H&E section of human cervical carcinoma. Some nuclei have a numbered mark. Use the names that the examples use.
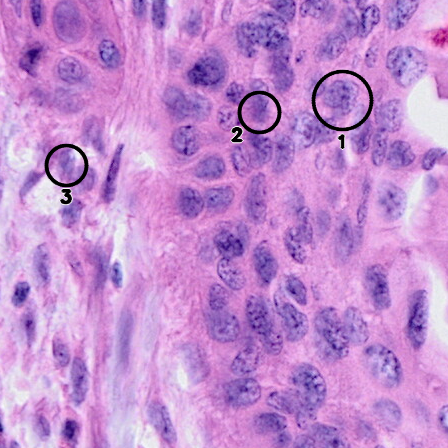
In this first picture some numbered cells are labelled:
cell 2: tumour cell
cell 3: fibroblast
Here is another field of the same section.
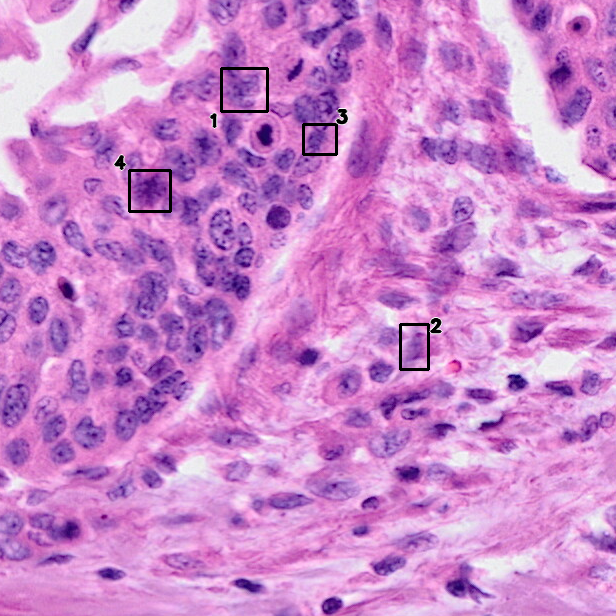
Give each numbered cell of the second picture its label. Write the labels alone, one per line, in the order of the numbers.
tumour cell
fibroblast
tumour cell
tumour cell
